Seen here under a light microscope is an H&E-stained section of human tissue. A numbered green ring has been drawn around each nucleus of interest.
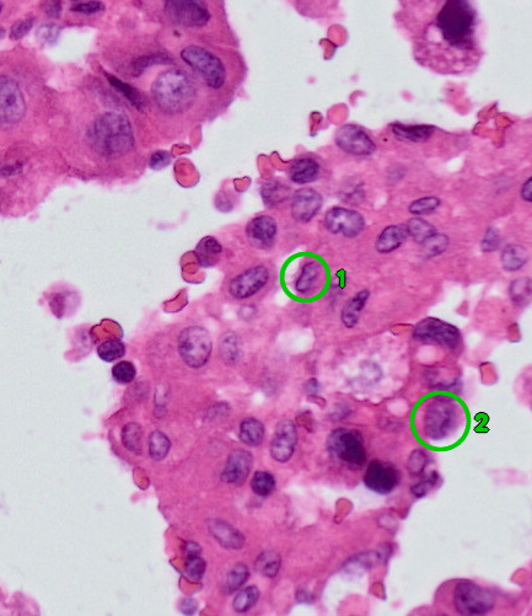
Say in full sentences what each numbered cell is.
Cell 1 is a macrophage or monocyte and cell 2 is a carcinoma cell.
